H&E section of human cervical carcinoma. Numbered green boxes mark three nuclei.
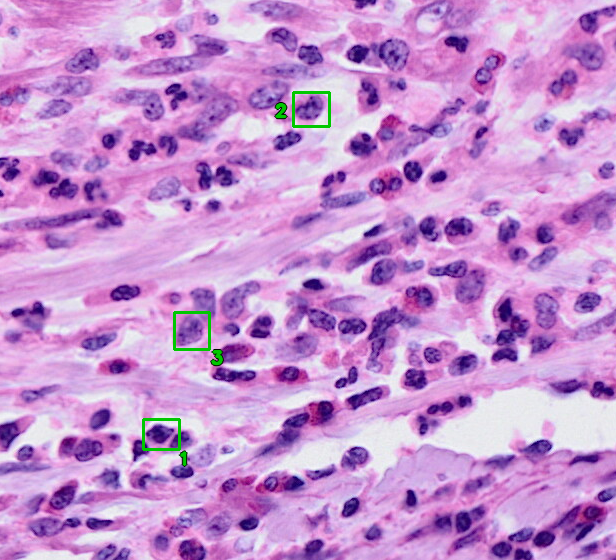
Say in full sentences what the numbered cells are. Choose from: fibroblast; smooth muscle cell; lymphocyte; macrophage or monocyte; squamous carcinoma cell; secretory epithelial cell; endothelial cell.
Cell 1 is a lymphocyte, cell 2 is a macrophage or monocyte and cell 3 is a macrophage or monocyte.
